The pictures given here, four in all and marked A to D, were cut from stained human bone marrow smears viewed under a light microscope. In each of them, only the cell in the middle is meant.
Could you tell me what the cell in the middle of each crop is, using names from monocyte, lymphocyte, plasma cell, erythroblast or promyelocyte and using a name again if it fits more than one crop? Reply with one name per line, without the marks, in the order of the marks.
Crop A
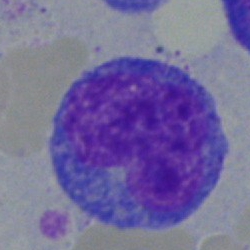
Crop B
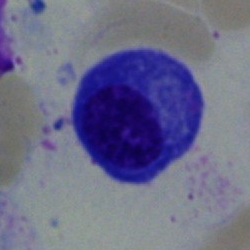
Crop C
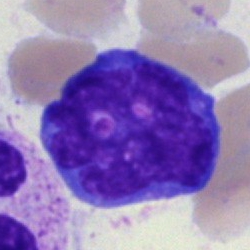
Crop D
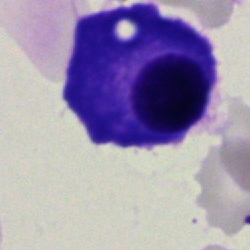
monocyte
plasma cell
monocyte
plasma cell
